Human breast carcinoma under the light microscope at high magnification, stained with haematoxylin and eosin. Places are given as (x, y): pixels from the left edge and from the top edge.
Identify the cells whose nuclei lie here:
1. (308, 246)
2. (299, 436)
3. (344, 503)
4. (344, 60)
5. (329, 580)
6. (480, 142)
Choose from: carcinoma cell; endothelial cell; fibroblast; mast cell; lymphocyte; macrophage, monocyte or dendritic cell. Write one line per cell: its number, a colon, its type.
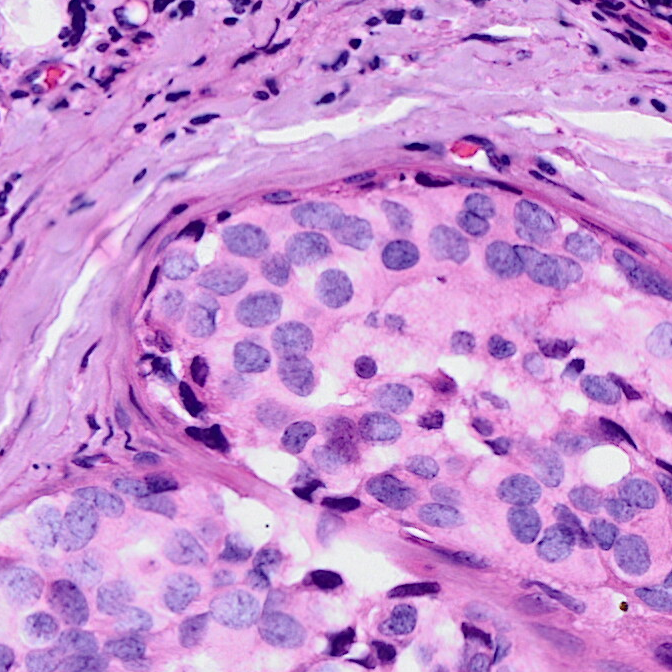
1: carcinoma cell
2: carcinoma cell
3: carcinoma cell
4: lymphocyte
5: carcinoma cell
6: endothelial cell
